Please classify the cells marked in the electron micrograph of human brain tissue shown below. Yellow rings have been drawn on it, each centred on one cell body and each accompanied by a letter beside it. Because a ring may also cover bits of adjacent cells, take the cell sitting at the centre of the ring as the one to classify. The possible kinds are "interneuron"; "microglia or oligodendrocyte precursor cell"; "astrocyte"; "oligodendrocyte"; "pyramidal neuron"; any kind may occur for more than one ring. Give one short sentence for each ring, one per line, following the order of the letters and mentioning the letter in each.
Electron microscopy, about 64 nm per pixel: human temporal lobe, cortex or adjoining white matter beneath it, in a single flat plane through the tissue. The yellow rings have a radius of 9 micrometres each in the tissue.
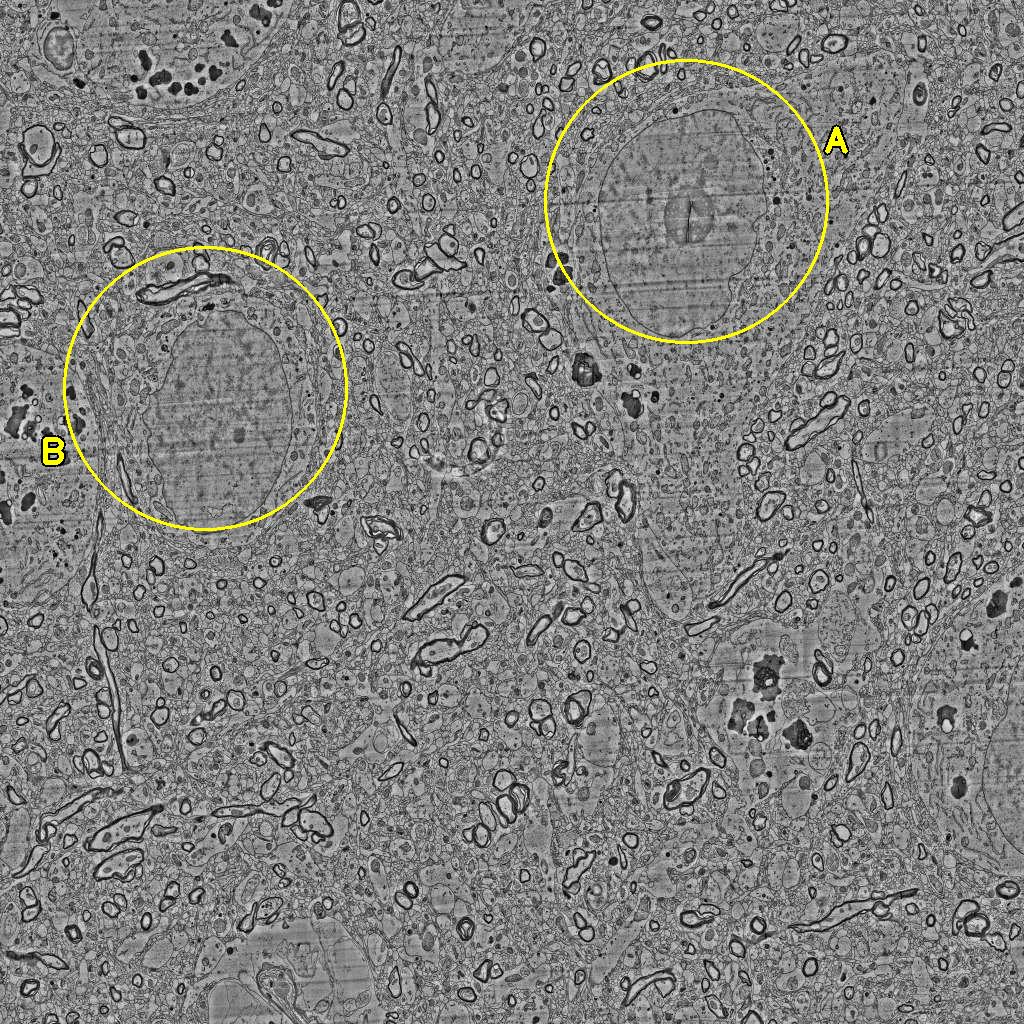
Ring A marks the cell body of a pyramidal neuron.
Ring B marks the cell body of an interneuron.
